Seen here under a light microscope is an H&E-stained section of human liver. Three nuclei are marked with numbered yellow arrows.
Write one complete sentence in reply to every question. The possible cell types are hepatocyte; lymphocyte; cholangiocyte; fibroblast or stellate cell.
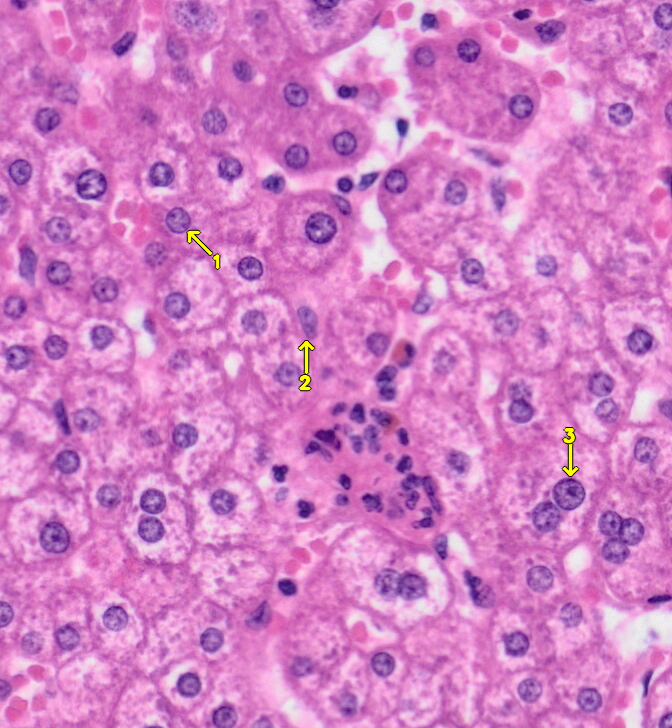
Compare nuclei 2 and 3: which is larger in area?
Nucleus 3 is the larger one, covering about 2 times the area of nucleus 2.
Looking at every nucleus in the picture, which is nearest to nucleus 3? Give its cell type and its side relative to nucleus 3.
Lying below and to the left of nucleus 3, the nearest nucleus is that of a hepatocyte.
